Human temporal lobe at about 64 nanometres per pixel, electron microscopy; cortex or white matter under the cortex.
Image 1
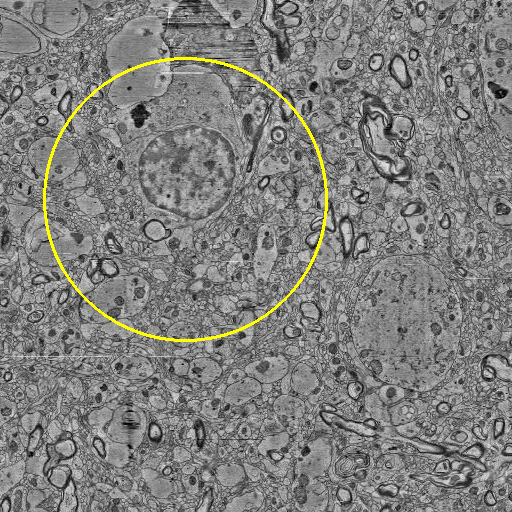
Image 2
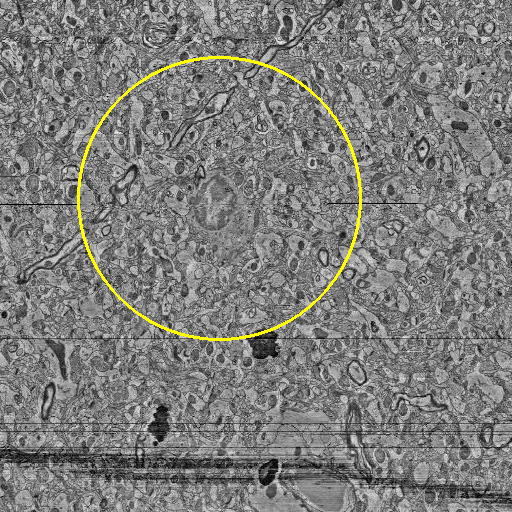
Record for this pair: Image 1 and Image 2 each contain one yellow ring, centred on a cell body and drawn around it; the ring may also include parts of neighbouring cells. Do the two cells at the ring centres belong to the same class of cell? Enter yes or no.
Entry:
yes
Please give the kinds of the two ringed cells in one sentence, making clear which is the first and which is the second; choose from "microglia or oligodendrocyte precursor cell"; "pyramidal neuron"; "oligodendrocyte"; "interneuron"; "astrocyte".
In the first picture and in the second, the ring is centred on an oligodendrocyte.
